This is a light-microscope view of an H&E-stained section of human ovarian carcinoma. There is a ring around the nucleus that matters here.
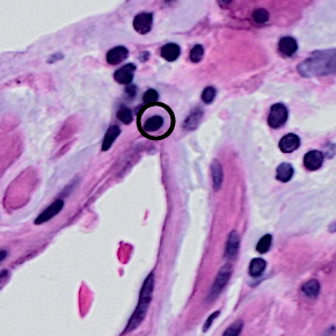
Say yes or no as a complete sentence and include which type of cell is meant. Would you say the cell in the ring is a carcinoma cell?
No, the cell in the ring is correctly named a lymphocyte; it is not a carcinoma cell.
